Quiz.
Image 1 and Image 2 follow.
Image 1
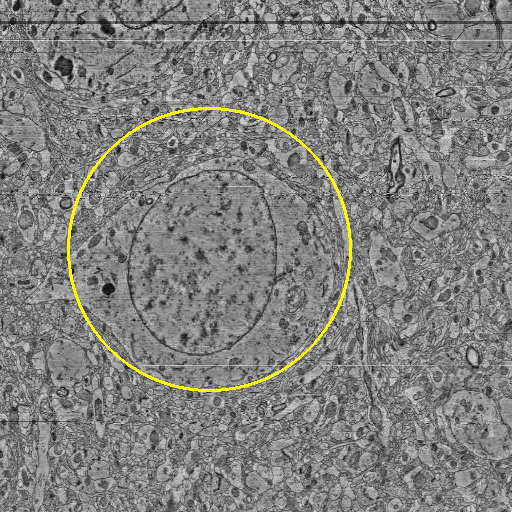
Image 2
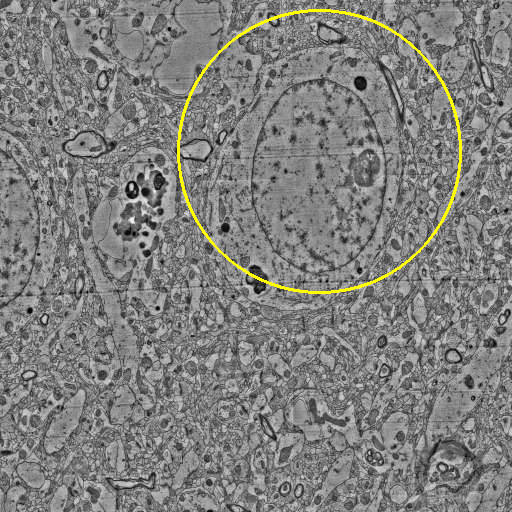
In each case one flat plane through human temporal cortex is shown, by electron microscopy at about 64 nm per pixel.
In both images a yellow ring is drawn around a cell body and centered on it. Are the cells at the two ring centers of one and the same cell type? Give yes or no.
yes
